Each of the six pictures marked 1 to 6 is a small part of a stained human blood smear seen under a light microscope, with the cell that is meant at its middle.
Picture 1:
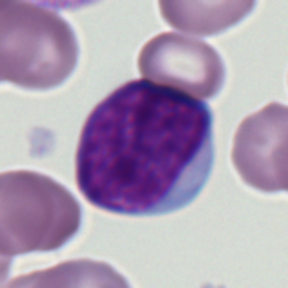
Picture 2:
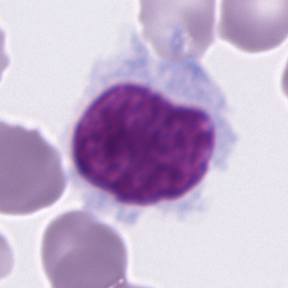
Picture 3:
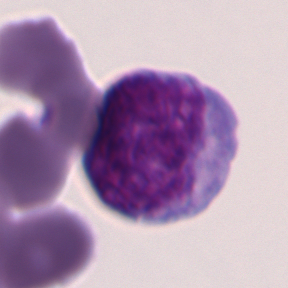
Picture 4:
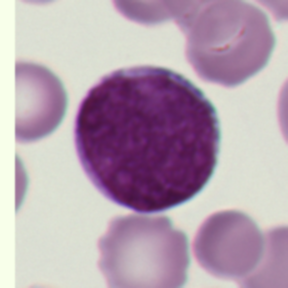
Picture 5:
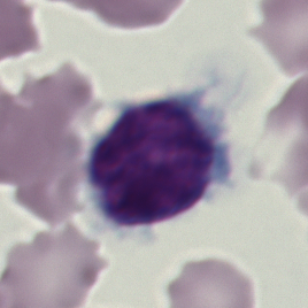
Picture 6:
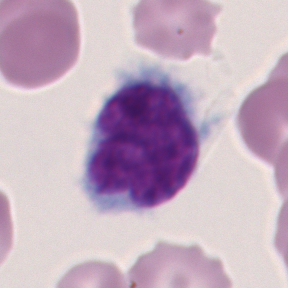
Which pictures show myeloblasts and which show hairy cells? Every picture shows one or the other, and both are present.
1: myeloblast
2: hairy cell
3: myeloblast
4: myeloblast
5: hairy cell
6: hairy cell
